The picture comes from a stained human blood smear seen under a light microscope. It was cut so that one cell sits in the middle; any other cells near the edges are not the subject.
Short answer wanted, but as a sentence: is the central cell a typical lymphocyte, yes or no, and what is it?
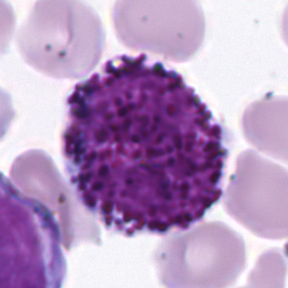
No, what is centred in the crop is not a typical lymphocyte but a basophil.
